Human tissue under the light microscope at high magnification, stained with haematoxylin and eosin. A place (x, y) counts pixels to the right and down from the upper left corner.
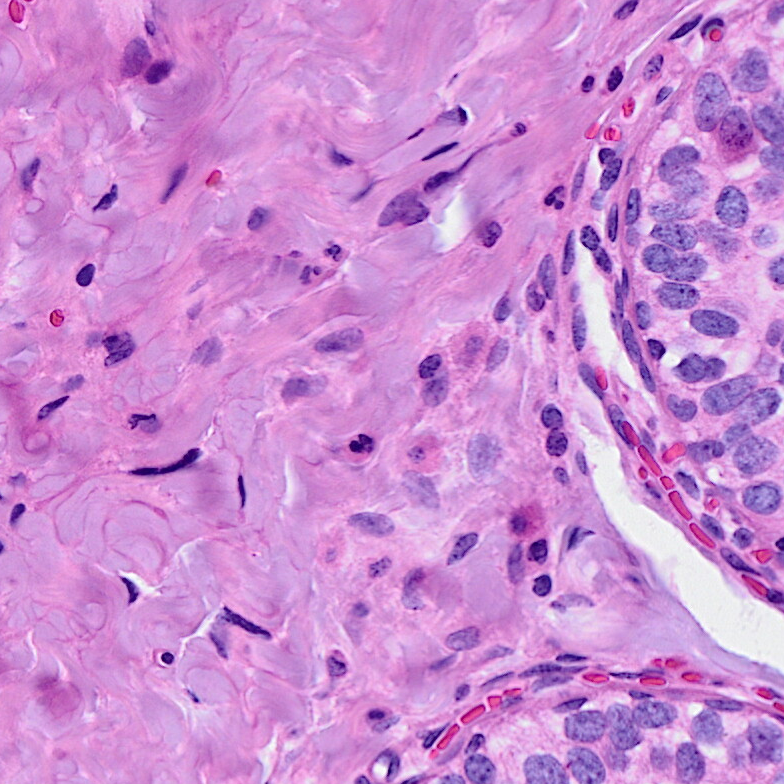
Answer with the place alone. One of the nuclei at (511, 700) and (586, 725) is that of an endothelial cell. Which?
(511, 700)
